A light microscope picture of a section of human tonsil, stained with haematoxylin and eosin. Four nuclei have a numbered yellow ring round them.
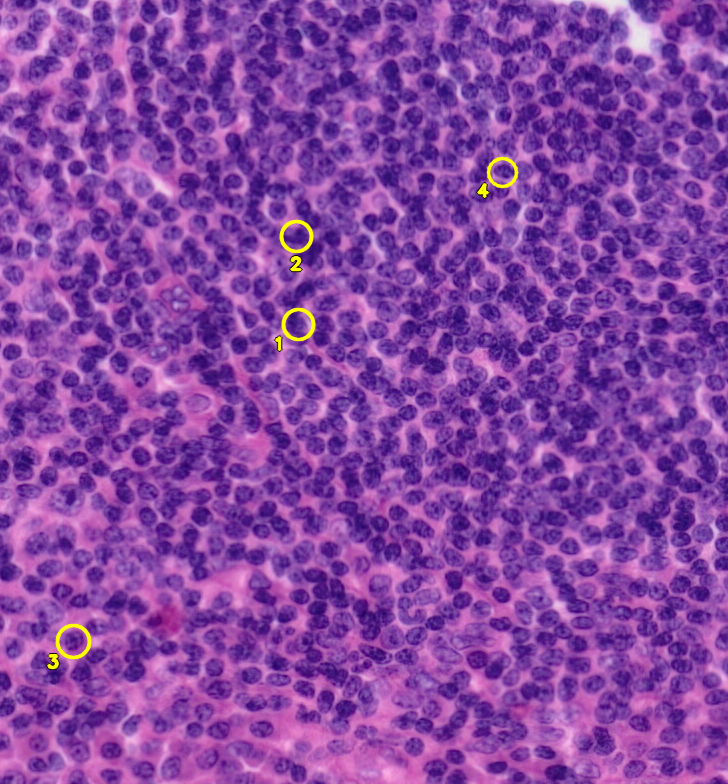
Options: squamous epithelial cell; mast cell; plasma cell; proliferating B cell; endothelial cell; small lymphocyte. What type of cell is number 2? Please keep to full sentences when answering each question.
As for number 2, that cell is a small lymphocyte.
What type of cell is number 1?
Number 1 among the marked cells is a small lymphocyte.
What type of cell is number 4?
The expected answer is that cell 4 is a small lymphocyte.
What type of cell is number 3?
The nucleus labeled 3 belongs to a plasma cell.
